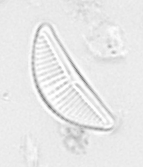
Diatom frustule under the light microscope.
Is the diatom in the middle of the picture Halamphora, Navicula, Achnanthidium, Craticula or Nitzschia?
It is Halamphora.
